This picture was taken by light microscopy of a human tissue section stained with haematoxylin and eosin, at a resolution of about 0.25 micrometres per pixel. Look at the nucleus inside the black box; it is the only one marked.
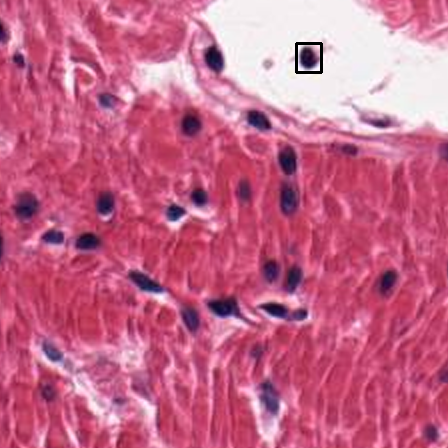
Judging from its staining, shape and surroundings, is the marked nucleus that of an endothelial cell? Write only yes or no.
no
